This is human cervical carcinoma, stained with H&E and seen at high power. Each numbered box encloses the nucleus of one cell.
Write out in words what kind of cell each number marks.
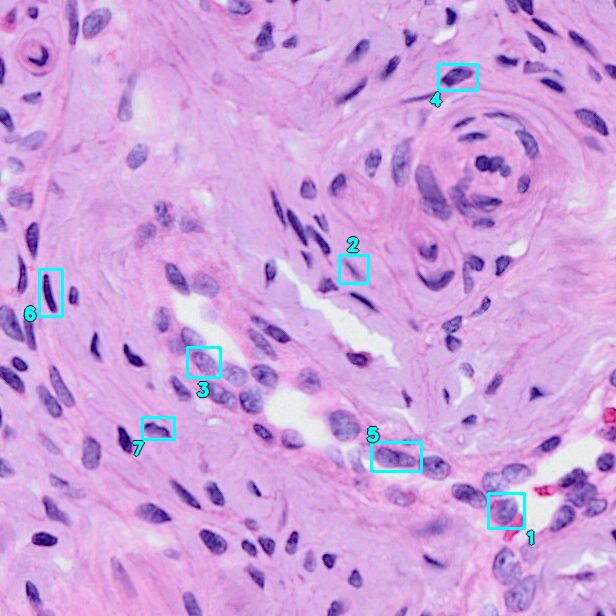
Cells 1, 3 and 5 are endothelial cells. Cells 2, 4, 6 and 7 are fibroblasts.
